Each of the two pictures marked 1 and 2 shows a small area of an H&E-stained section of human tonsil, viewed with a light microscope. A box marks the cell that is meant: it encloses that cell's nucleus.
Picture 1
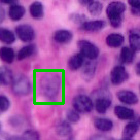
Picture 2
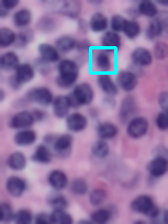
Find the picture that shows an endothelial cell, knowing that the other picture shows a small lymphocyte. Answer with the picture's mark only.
1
